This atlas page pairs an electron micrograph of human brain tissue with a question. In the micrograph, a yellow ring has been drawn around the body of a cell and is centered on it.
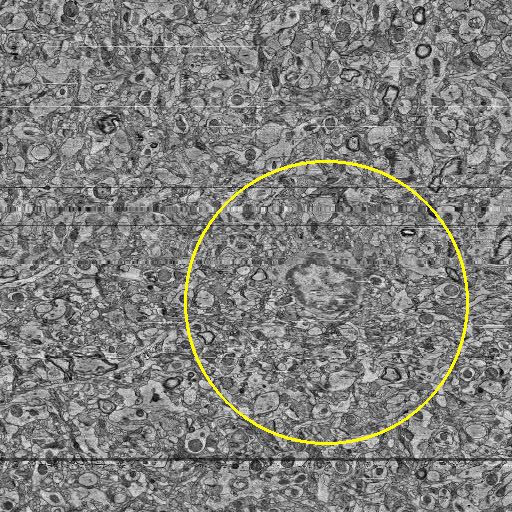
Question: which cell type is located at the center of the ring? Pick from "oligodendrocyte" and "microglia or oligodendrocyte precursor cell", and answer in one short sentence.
Located at the center of the ring is an oligodendrocyte.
